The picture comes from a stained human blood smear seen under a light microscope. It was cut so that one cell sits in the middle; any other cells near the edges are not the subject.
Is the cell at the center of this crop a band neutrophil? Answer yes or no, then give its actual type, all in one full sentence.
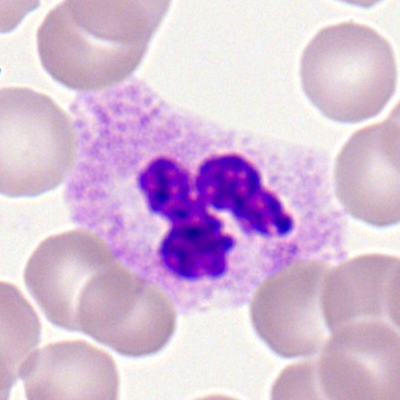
No, the central cell is not to be called a band neutrophil, being a segmented neutrophil.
